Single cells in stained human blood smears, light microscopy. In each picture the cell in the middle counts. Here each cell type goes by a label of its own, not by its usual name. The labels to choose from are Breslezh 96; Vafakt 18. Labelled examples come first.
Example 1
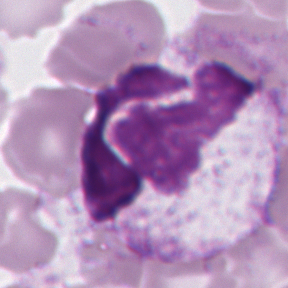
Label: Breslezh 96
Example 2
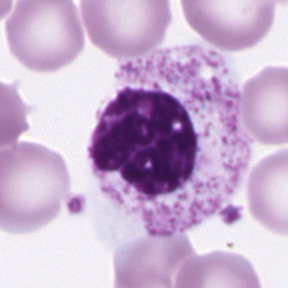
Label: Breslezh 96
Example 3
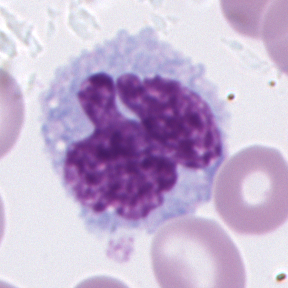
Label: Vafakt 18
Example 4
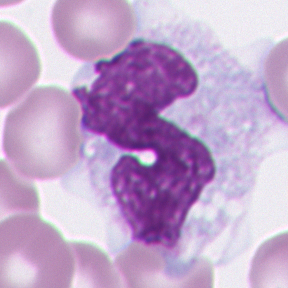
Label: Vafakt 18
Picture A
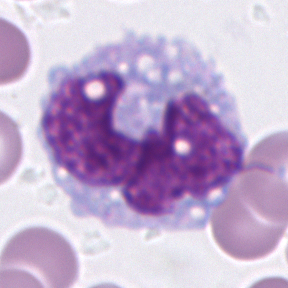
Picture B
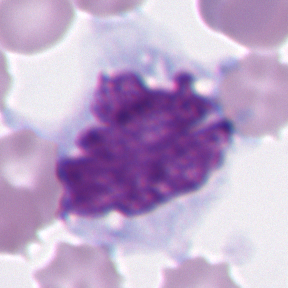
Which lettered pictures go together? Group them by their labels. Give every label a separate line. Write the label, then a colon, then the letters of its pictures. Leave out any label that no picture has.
Vafakt 18: A, B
